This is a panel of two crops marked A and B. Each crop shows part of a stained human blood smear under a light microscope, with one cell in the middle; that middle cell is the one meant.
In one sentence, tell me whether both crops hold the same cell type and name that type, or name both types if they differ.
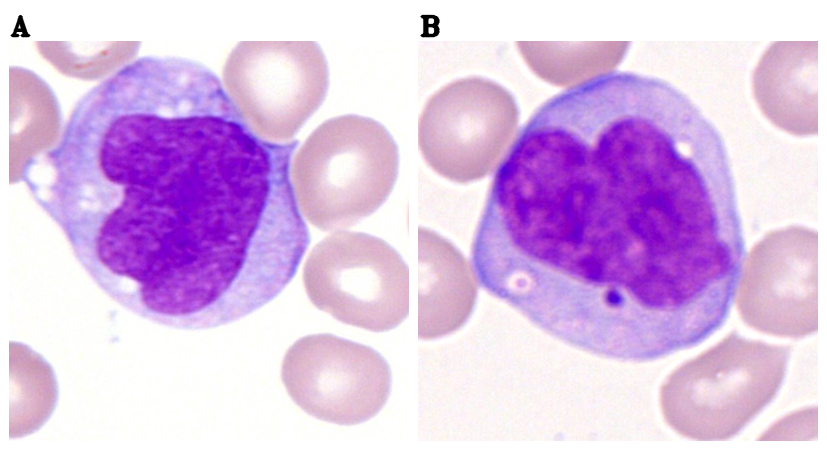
Yes, the two cells in the two crops are monocytes.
